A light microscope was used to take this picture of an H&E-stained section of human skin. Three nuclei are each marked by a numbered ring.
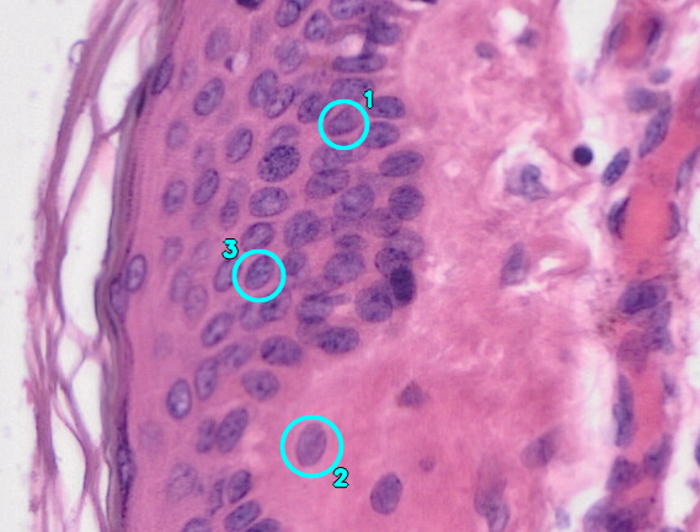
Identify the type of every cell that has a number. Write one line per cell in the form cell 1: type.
cell 1: basal keratinocyte
cell 2: fibroblast
cell 3: suprabasal keratinocyte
